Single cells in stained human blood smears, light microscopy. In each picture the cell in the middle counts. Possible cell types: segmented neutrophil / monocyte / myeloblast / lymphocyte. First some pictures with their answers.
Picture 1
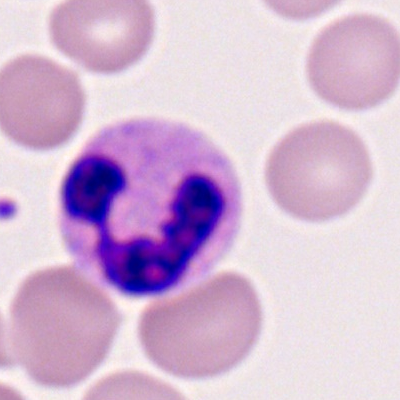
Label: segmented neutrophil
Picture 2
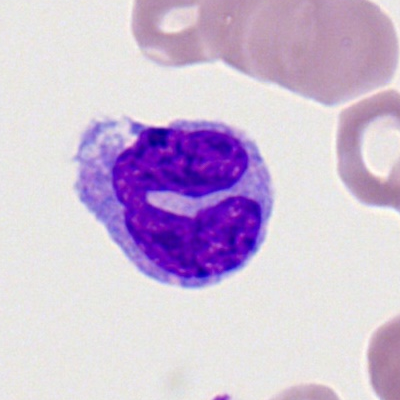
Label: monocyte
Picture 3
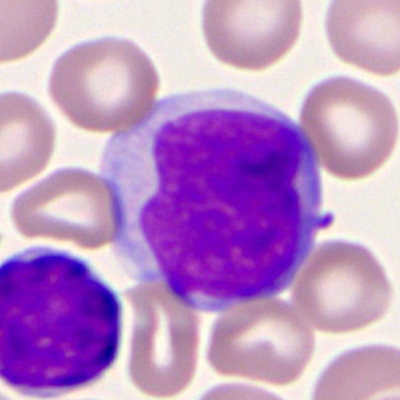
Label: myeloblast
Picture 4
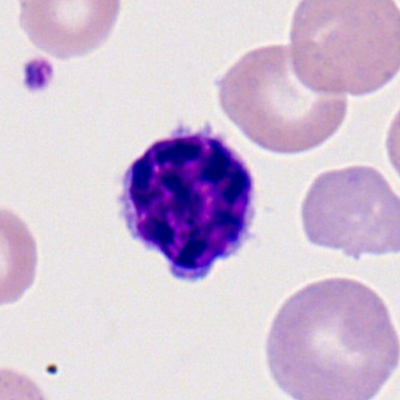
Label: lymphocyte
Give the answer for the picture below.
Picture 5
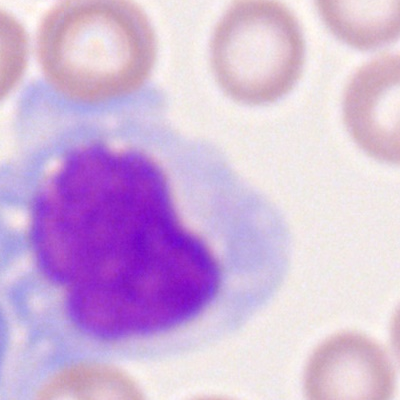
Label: monocyte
